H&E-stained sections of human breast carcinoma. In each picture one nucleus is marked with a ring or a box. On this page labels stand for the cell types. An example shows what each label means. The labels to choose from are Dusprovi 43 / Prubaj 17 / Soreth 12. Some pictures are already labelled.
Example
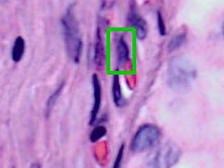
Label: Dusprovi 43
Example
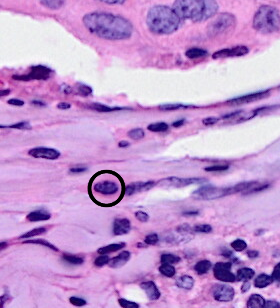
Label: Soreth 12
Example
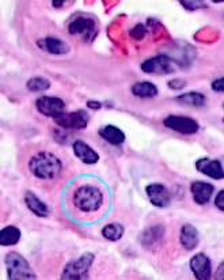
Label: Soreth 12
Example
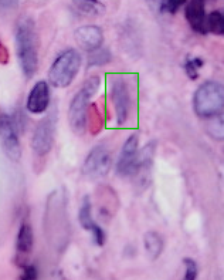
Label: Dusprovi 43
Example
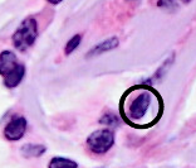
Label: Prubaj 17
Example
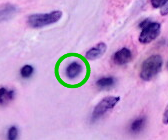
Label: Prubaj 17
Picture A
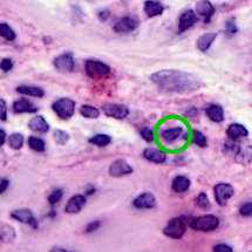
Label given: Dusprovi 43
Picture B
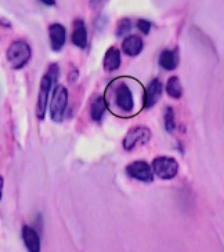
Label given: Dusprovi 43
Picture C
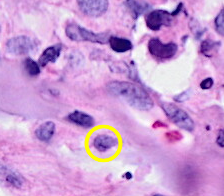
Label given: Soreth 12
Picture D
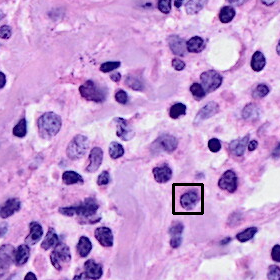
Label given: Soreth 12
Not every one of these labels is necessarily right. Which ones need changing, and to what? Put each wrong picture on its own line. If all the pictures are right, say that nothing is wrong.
Wrong: A (Dusprovi 43); correct: Prubaj 17
Wrong: B (Dusprovi 43); correct: Prubaj 17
